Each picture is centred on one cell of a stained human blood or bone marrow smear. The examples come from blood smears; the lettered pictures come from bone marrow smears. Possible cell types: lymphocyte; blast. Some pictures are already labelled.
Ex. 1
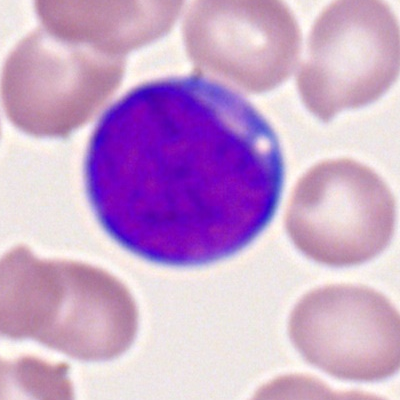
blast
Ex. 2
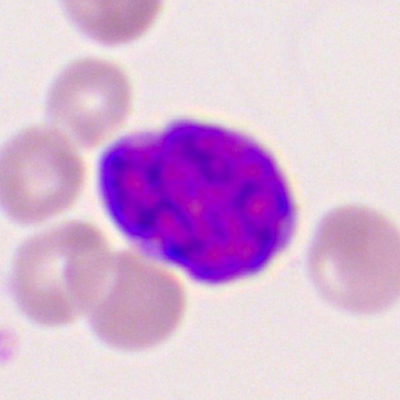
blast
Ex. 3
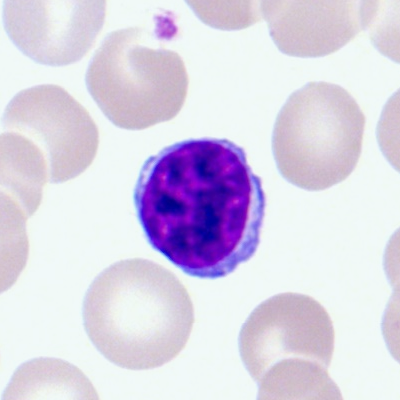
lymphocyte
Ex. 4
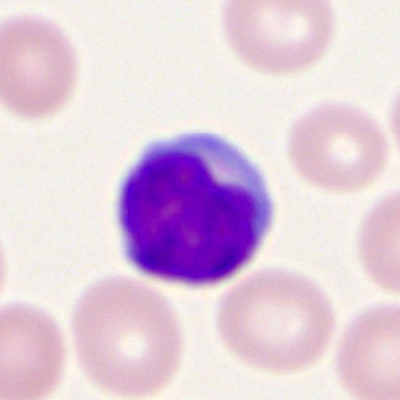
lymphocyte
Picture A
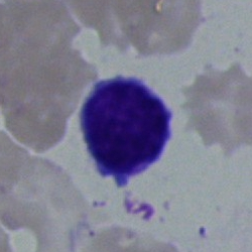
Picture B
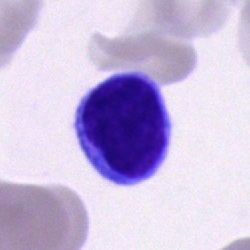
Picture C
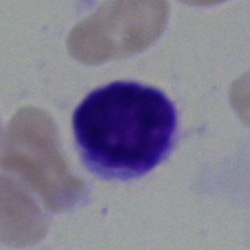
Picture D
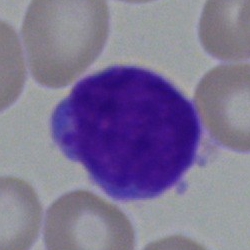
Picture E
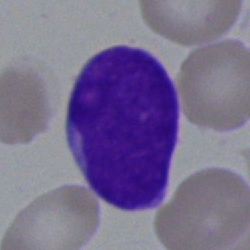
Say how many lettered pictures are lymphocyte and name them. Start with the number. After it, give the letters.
3: A, B, C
